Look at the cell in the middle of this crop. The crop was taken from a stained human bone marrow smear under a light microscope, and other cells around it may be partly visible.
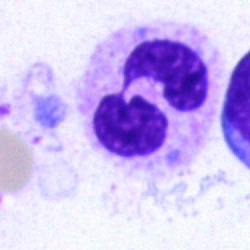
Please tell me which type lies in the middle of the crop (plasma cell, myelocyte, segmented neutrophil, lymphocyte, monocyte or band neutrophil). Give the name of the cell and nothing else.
segmented neutrophil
